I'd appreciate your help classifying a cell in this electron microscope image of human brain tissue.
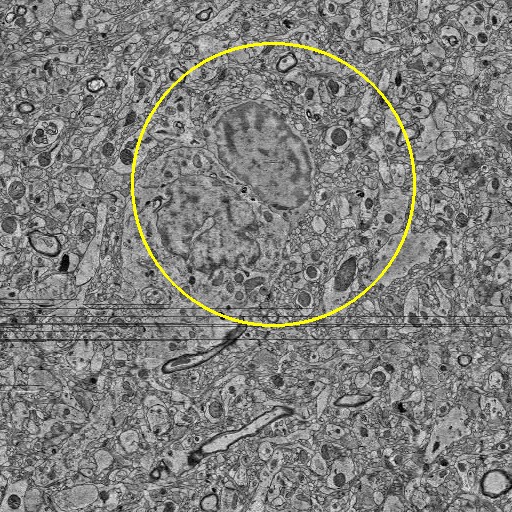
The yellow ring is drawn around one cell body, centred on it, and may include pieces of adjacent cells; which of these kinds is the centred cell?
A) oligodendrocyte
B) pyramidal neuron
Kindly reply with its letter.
A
